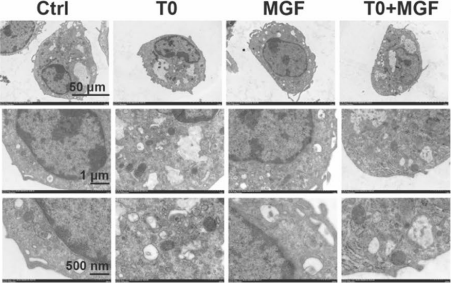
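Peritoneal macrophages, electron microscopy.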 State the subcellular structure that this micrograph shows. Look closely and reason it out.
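Several images show membrane-bound vacuoles in the cytoplasm. Some vacuoles are pale, others hold darker material. On this evidence: autophagic vacuoles.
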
